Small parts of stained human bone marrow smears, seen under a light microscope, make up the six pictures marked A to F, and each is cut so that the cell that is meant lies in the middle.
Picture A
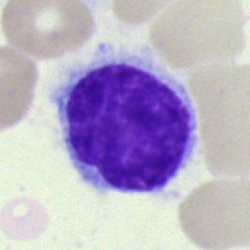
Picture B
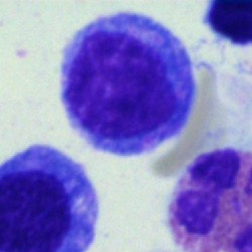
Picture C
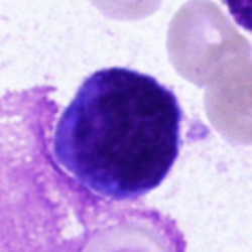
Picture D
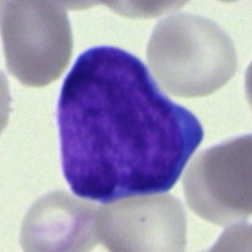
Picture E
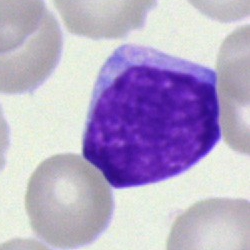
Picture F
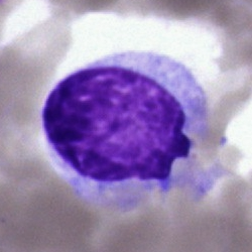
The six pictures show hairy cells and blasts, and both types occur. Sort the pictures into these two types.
A: hairy cell
B: blast
C: blast
D: blast
E: blast
F: hairy cell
